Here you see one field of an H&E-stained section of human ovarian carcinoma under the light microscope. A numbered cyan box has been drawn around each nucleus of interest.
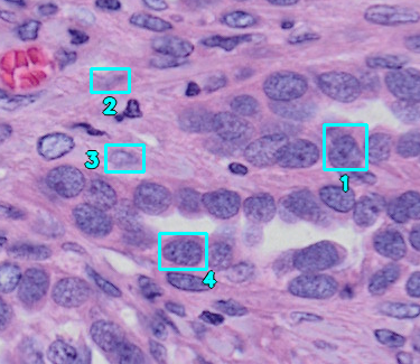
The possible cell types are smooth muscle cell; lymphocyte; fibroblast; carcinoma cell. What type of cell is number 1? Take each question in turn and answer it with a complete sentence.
In the tissue shown, cell 1 is a carcinoma cell.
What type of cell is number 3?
The cell whose nucleus carries the number 3 is a fibroblast.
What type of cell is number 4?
The cell numbered 4 has been identified as a carcinoma cell.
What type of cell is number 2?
The one labeled 2 is a fibroblast, to put it simply.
